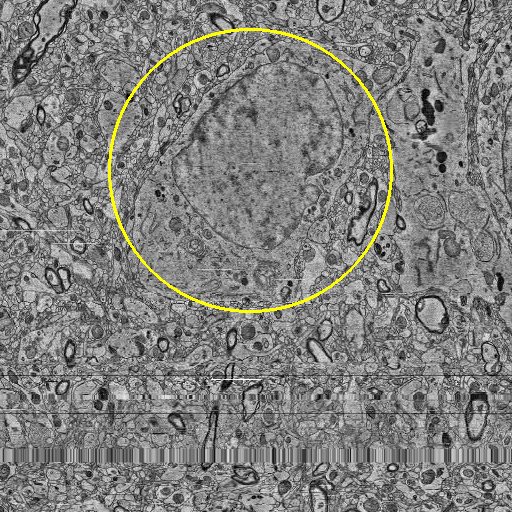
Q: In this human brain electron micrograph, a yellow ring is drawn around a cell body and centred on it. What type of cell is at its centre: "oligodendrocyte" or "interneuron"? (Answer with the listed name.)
interneuron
